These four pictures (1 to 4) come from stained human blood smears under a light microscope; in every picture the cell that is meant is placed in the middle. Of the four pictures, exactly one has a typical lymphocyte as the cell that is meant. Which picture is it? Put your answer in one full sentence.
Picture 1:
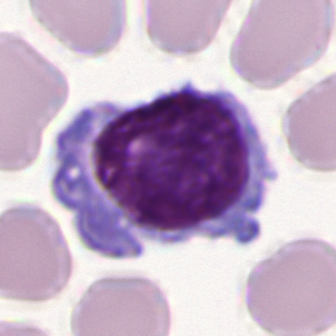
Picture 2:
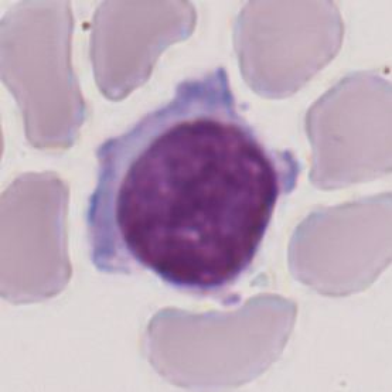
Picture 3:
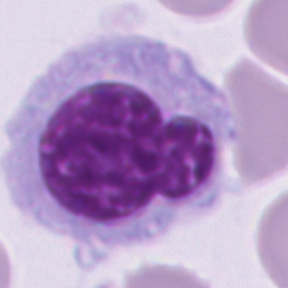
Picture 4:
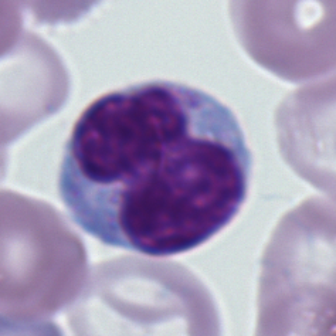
It is picture 4 that shows the typical lymphocyte.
